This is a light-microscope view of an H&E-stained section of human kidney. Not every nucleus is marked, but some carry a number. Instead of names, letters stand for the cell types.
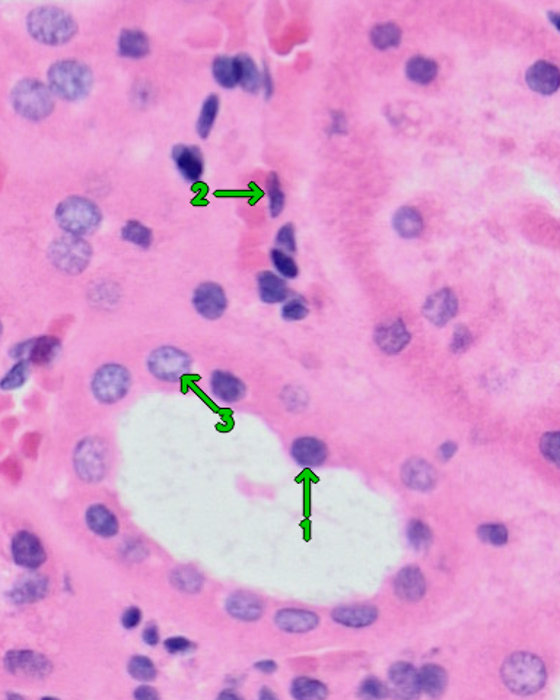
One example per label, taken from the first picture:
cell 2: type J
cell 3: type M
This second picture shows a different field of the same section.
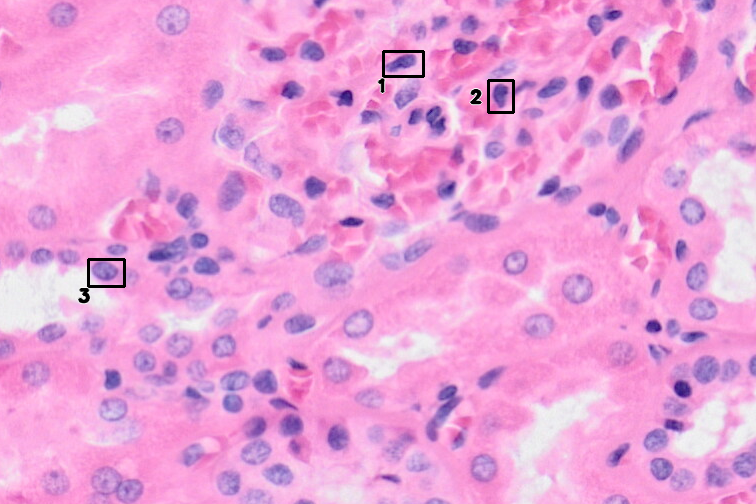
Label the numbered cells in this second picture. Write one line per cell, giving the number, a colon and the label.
1: type J
2: type J
3: type M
